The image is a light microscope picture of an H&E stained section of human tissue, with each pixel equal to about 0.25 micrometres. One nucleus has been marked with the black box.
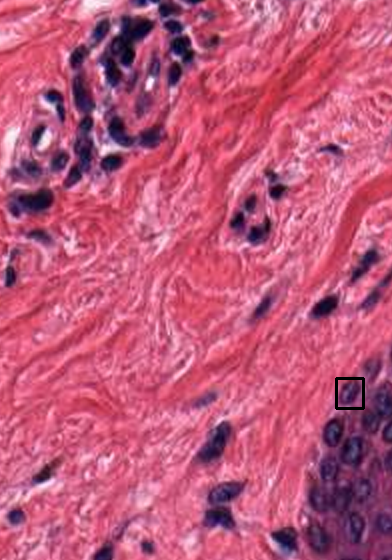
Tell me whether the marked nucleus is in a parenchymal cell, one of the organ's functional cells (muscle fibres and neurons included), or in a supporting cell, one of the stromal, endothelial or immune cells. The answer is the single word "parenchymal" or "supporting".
parenchymal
